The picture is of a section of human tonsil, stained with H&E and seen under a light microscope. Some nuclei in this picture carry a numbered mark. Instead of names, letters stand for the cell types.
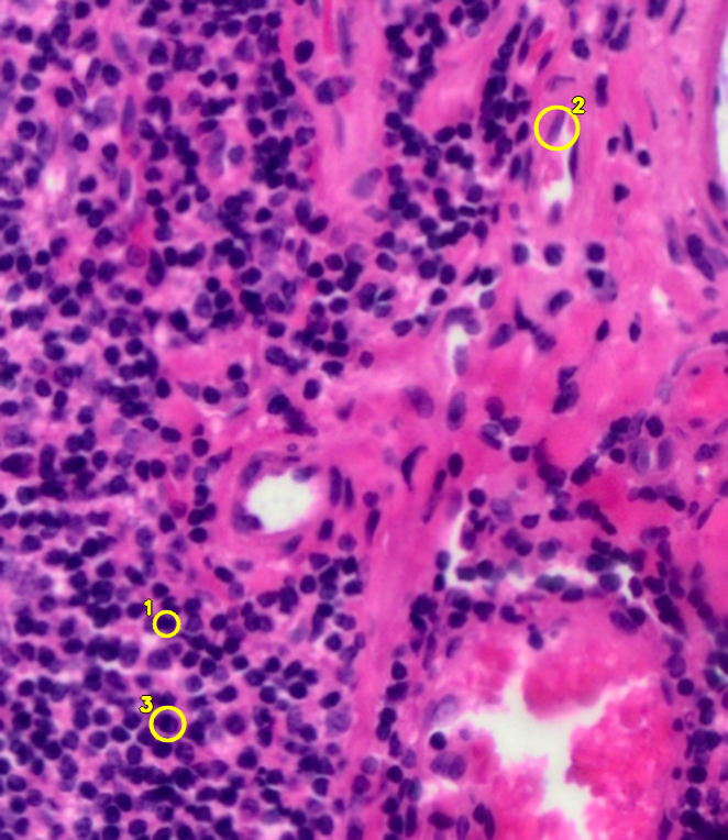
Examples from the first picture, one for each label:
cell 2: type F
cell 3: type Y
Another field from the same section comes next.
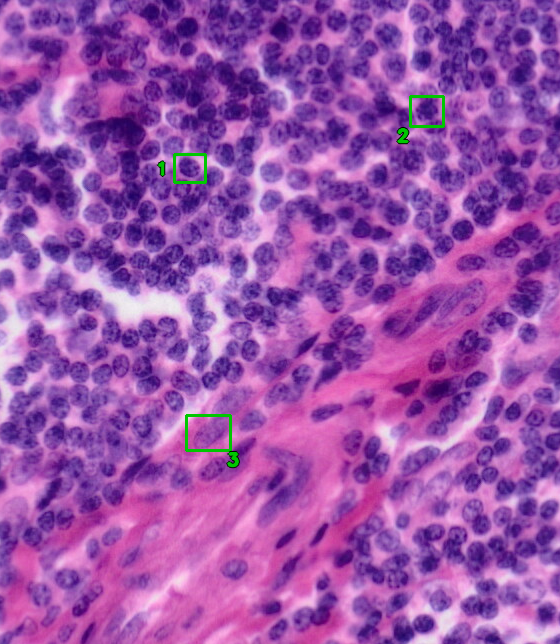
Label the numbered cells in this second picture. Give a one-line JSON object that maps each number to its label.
{"1": "type Y", "2": "type Y", "3": "type F"}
